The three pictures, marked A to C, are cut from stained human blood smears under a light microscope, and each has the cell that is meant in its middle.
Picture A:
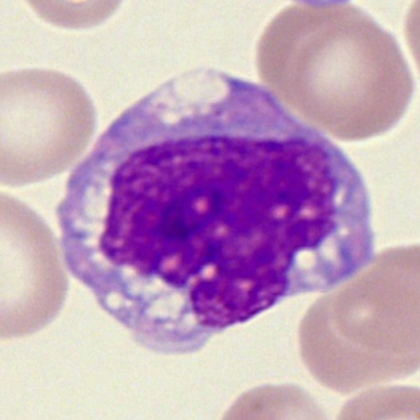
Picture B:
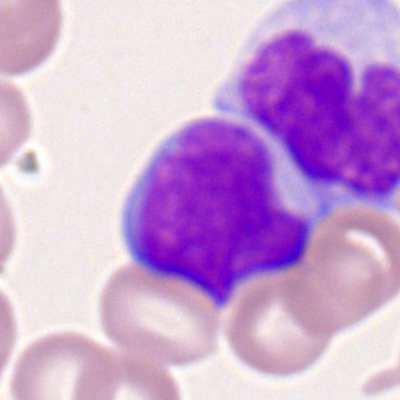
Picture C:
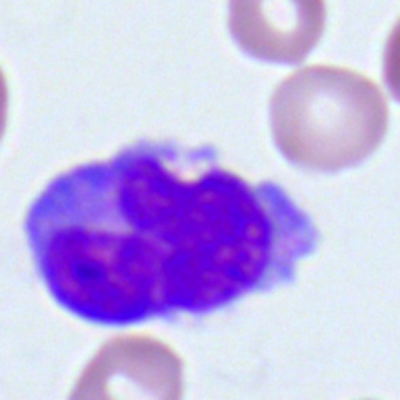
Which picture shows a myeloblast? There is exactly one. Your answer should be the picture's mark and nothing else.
B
